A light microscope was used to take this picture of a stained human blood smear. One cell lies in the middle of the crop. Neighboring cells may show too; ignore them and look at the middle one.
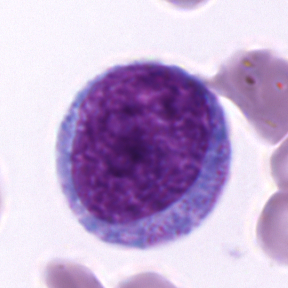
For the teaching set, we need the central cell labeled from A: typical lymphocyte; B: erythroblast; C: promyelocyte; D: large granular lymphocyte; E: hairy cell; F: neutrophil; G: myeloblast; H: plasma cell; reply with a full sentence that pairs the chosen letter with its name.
Correctly, option C names the cell in the middle a promyelocyte.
